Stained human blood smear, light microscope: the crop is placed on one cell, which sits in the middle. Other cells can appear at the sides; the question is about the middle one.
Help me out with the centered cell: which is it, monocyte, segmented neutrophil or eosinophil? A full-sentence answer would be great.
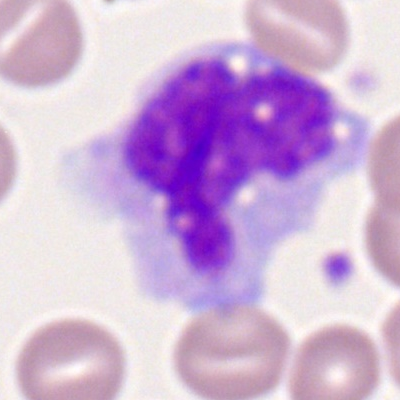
The centrally placed cell is classified as a monocyte.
